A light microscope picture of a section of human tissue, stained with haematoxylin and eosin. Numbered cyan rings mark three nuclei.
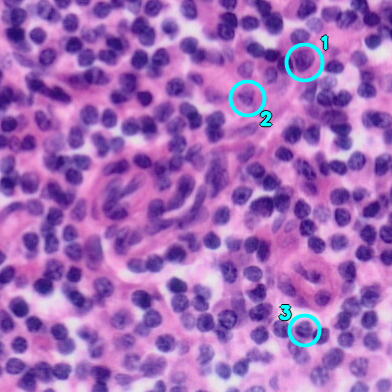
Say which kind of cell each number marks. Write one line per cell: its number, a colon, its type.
1: endothelial cell
2: endothelial cell
3: small lymphocyte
